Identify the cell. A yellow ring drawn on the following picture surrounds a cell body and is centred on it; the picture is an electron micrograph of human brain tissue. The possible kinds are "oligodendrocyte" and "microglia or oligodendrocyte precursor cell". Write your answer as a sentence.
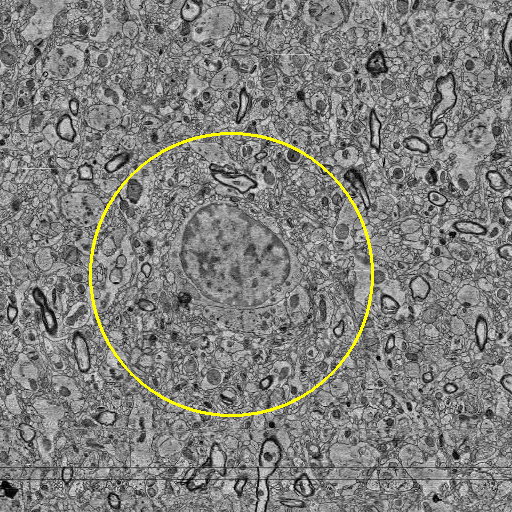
The cell identified by the ring is an oligodendrocyte.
